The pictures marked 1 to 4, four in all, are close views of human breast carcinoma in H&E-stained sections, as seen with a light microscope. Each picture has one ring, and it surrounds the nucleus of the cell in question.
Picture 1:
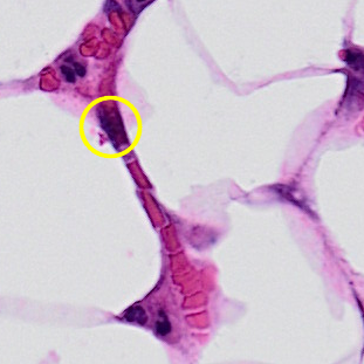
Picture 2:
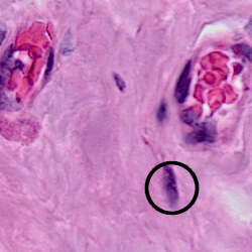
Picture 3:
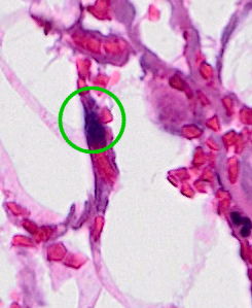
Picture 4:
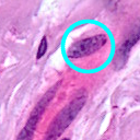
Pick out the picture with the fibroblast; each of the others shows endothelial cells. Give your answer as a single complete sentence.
Picture 2 shows the fibroblast.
